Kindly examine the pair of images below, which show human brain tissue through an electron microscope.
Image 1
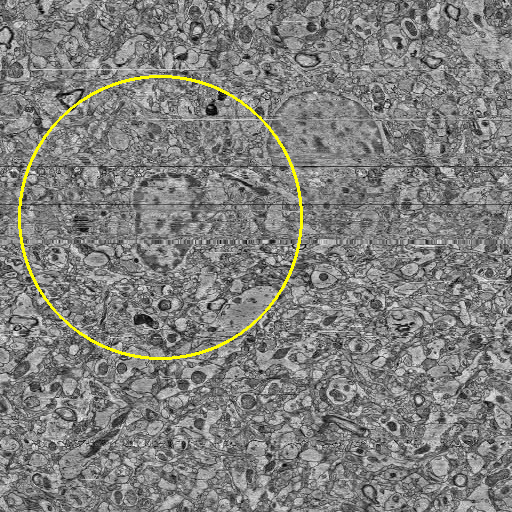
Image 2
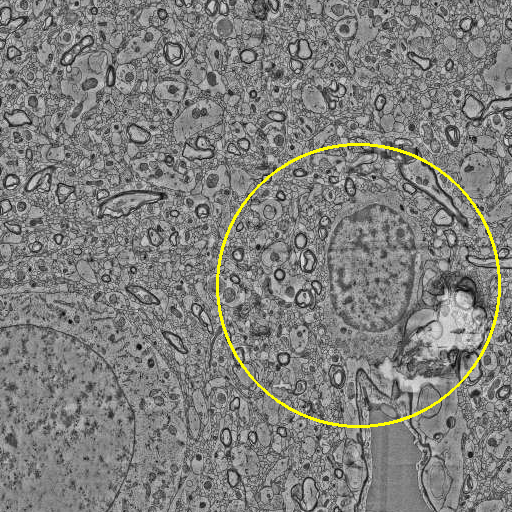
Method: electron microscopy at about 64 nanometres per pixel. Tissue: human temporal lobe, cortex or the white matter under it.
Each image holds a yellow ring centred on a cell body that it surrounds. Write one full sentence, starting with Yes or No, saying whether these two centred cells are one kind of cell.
No, the cells at the centres of the yellow rings belong to two kinds of cell.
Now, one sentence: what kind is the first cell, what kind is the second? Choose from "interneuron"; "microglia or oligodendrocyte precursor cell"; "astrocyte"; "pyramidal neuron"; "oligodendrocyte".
The first picture has a microglial cell or oligodendrocyte precursor cell at its ring centre, and the second has an oligodendrocyte.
